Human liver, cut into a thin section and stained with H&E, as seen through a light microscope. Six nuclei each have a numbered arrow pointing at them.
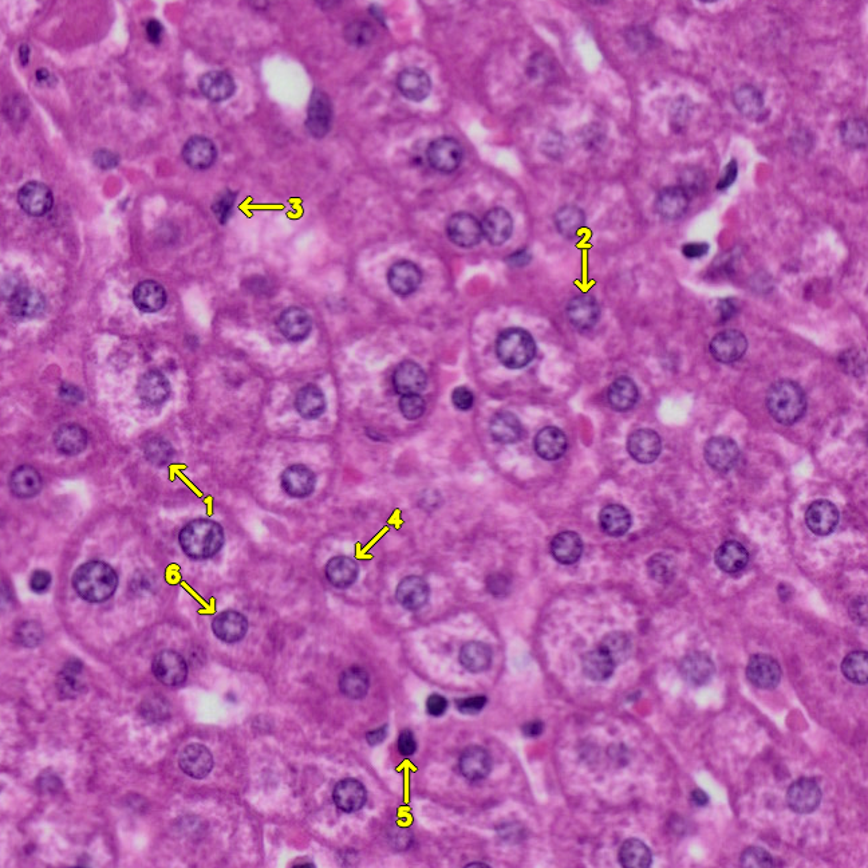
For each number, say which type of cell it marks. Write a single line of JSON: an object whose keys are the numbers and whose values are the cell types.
{"1": "hepatocyte", "2": "hepatocyte", "3": "endothelial cell", "4": "hepatocyte", "5": "lymphocyte", "6": "hepatocyte"}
